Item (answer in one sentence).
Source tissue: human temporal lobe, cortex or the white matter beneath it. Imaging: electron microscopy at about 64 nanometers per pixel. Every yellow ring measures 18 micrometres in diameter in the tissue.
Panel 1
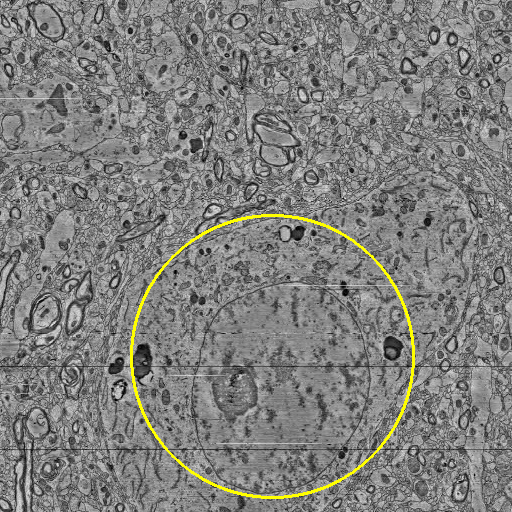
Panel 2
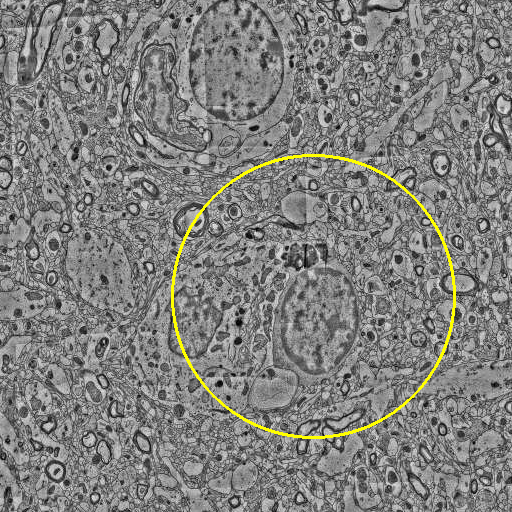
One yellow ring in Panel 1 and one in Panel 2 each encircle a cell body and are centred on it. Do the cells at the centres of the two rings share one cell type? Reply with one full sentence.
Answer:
No, Panel 1 and Panel 2 show cells of two types at the centres of their rings.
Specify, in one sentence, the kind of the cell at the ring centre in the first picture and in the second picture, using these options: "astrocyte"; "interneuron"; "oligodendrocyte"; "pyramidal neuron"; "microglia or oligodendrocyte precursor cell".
So the first is a pyramidal neuron, the second an oligodendrocyte.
